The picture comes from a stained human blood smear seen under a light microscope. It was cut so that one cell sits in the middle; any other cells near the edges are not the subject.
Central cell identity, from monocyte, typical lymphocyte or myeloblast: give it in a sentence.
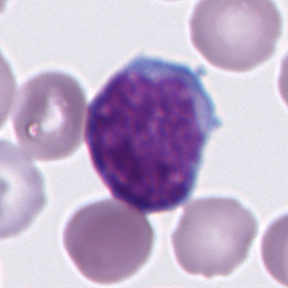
Whatever else lies nearby, the middle cell is a myeloblast.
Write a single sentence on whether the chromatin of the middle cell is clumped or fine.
You can see that its chromatin is coarsely clumped.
